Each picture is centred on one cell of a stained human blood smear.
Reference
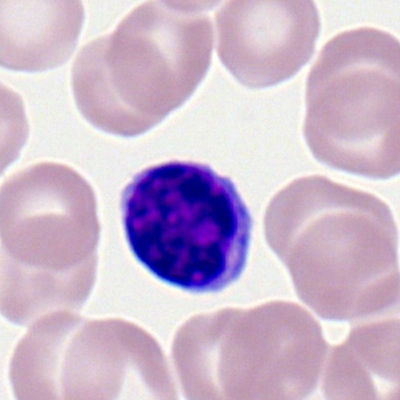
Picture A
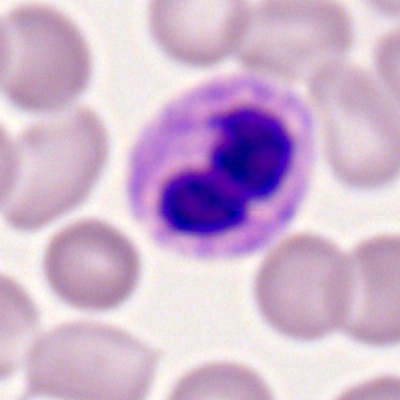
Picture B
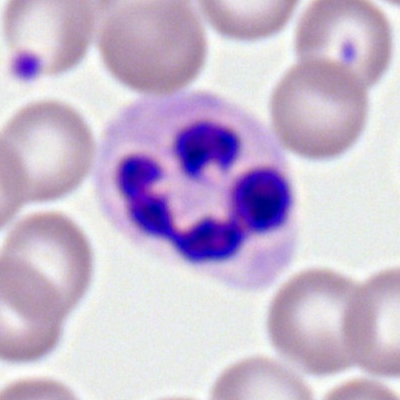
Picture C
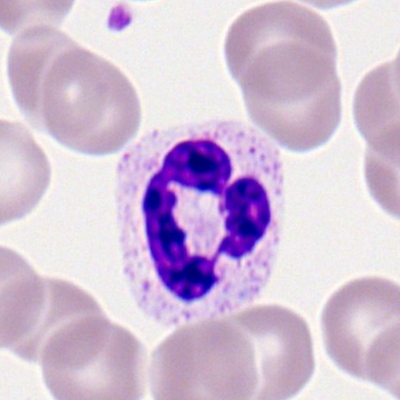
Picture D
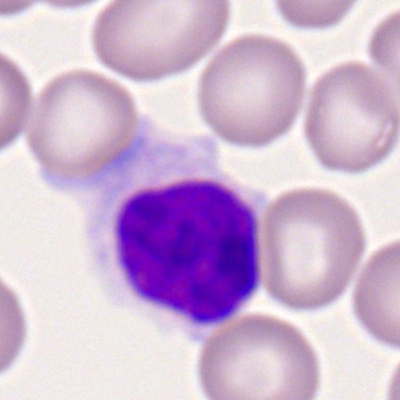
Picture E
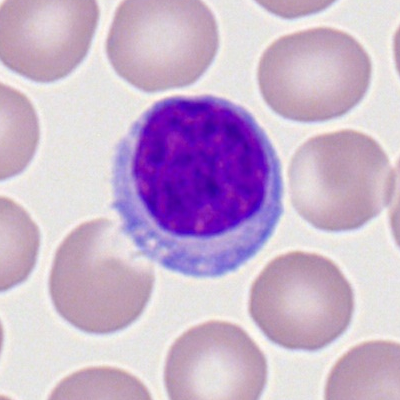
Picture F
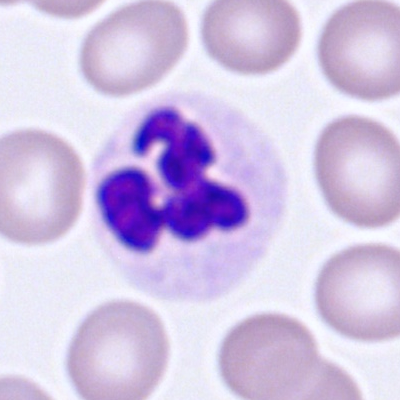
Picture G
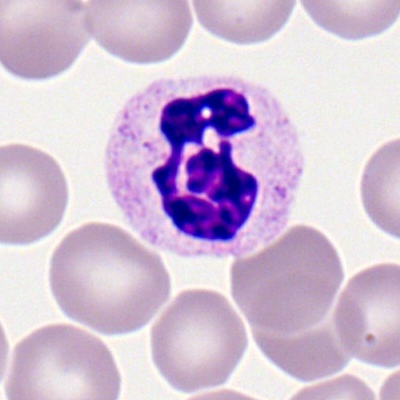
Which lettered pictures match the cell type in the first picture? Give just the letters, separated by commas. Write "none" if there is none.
D, E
